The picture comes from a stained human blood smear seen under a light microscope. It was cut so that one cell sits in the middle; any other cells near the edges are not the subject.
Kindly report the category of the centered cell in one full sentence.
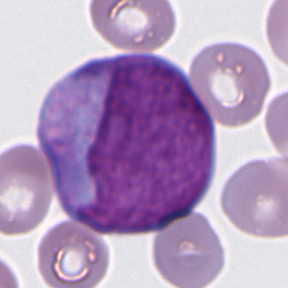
The single cell at the center of the crop is an atypical promyelocyte.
